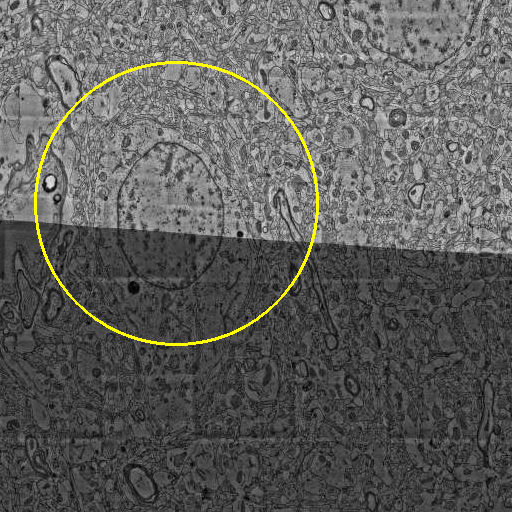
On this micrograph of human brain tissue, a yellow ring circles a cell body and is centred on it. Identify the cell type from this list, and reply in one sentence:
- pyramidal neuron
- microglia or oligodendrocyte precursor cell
The cell at the centre is a pyramidal neuron.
